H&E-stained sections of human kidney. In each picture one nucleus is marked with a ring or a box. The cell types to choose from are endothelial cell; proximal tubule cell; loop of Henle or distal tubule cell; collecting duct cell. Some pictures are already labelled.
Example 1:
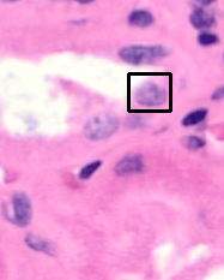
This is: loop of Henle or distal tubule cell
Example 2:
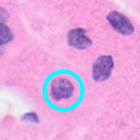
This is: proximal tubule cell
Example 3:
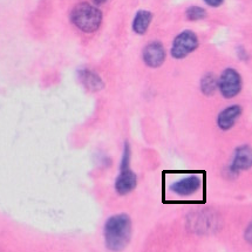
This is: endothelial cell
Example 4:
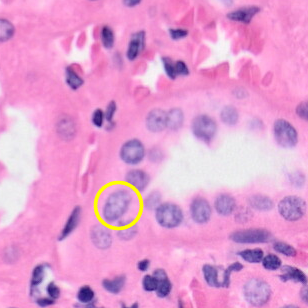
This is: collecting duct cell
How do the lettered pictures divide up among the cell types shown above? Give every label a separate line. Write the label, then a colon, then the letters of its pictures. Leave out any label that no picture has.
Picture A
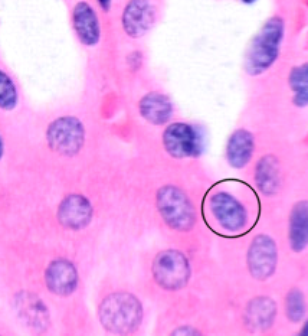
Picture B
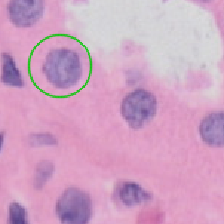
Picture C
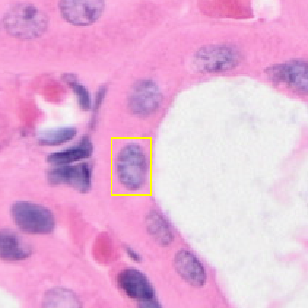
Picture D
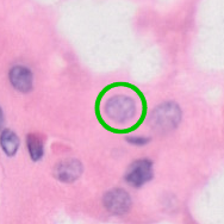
proximal tubule cell: D
loop of Henle or distal tubule cell: A, B, C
